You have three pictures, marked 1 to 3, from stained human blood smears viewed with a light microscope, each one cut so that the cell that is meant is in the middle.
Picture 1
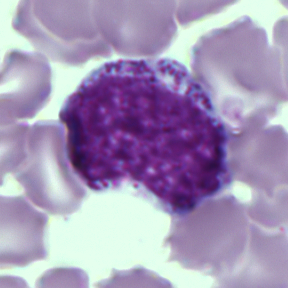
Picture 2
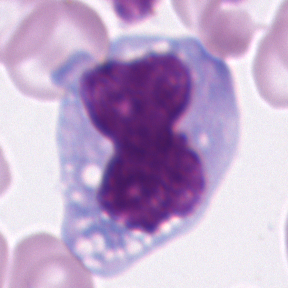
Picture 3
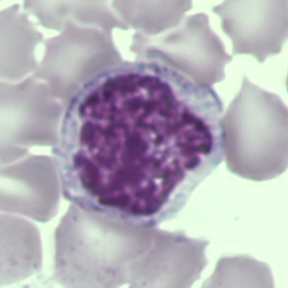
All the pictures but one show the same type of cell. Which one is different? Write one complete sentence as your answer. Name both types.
The others show myelocytes, but picture 2 shows a monocyte.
